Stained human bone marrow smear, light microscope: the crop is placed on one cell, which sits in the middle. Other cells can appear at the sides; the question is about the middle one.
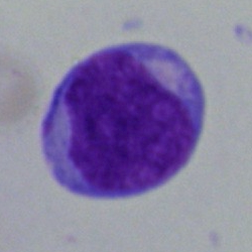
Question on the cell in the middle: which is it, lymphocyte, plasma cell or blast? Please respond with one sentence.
At the middle of the frame sits a blast.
